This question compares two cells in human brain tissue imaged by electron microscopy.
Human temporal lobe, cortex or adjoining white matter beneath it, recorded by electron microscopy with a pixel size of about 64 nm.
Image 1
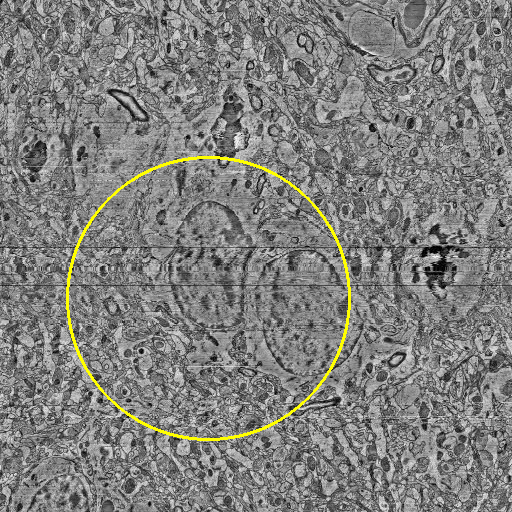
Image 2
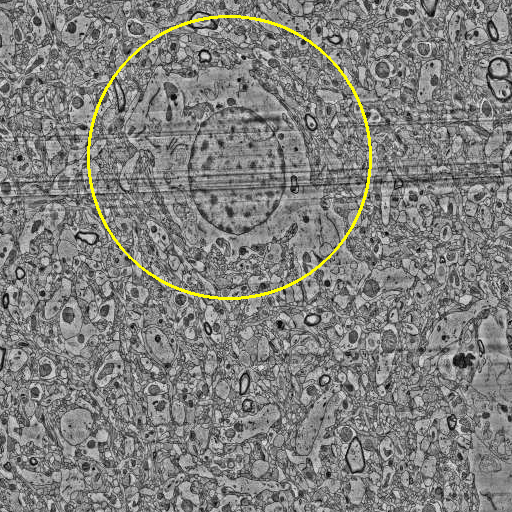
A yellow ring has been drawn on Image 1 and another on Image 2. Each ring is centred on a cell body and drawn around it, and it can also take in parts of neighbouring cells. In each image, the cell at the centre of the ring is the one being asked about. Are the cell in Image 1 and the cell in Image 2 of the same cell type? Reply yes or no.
yes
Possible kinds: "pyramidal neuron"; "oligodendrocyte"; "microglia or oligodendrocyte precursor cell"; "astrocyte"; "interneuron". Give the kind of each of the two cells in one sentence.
In each picture the ringed cell is an astrocyte.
